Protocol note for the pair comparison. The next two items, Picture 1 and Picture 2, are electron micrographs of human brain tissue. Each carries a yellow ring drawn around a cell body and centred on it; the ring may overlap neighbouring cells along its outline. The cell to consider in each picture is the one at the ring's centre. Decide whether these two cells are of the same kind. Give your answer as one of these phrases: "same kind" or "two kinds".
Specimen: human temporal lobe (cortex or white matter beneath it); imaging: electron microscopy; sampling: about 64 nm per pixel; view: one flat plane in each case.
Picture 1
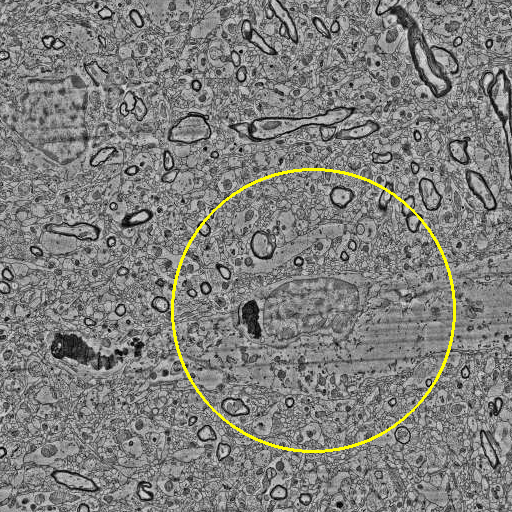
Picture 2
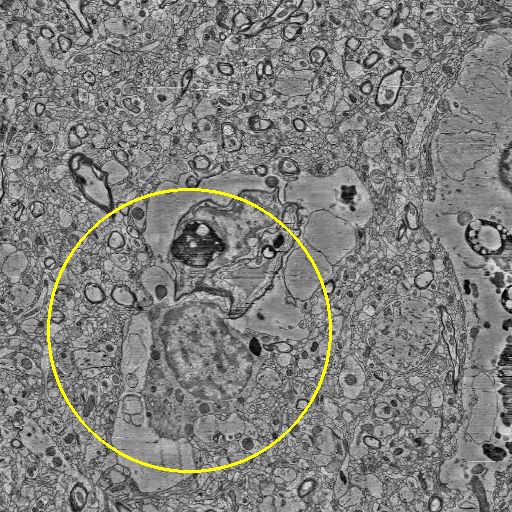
same kind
